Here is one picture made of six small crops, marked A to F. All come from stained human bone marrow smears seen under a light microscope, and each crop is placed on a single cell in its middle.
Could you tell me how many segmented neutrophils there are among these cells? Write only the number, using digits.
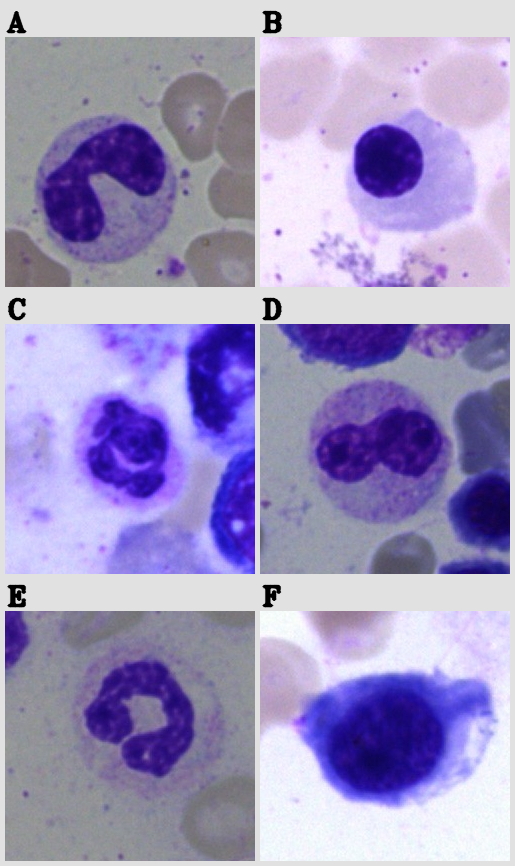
2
